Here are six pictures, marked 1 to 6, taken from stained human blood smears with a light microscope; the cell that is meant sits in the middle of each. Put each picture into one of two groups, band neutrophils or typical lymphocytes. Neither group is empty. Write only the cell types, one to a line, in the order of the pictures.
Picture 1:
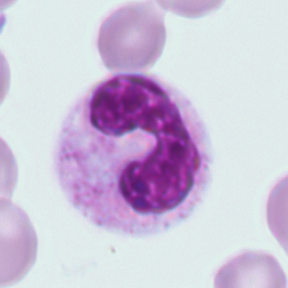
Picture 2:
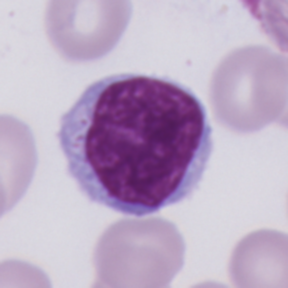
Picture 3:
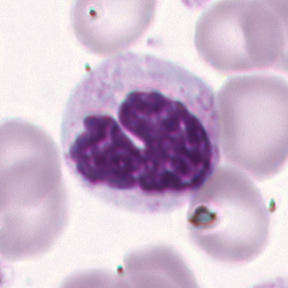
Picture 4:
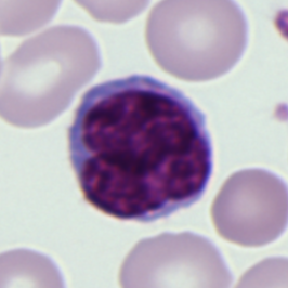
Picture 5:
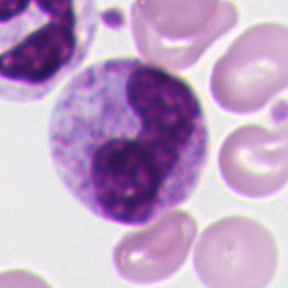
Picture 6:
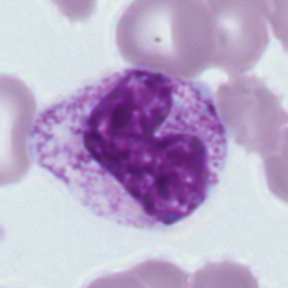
band neutrophil
typical lymphocyte
band neutrophil
typical lymphocyte
band neutrophil
band neutrophil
